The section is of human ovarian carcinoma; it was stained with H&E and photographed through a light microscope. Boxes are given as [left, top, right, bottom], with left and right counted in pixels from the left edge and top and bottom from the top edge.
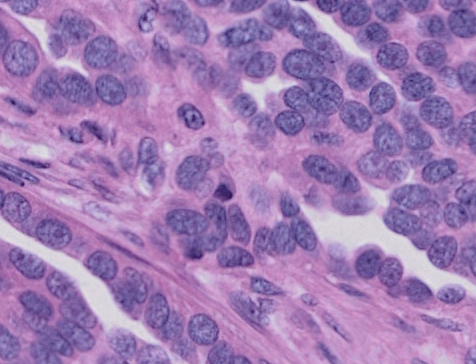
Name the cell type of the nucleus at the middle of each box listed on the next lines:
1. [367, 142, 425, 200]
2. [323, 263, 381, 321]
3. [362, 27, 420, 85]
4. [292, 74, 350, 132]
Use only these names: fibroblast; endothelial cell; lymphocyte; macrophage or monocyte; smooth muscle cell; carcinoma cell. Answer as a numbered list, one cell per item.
1. carcinoma cell
2. fibroblast
3. carcinoma cell
4. carcinoma cell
